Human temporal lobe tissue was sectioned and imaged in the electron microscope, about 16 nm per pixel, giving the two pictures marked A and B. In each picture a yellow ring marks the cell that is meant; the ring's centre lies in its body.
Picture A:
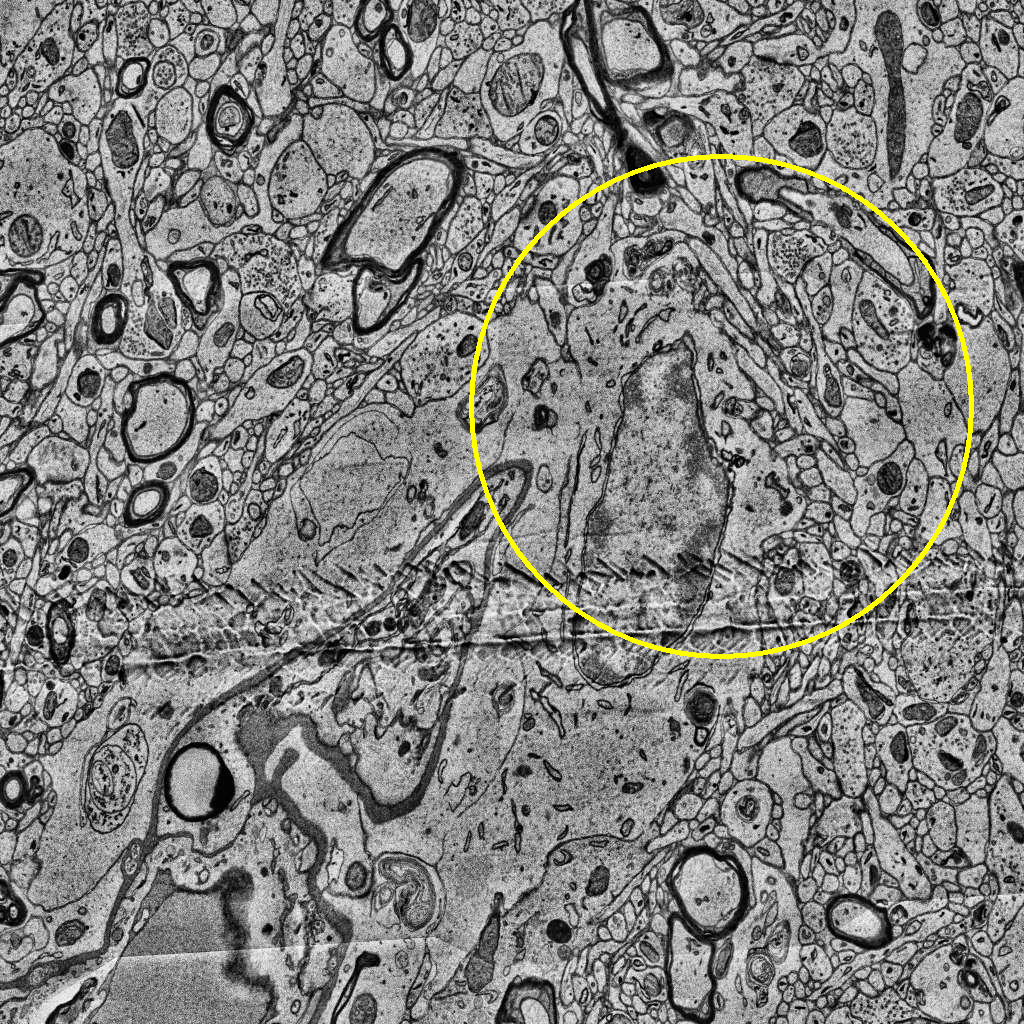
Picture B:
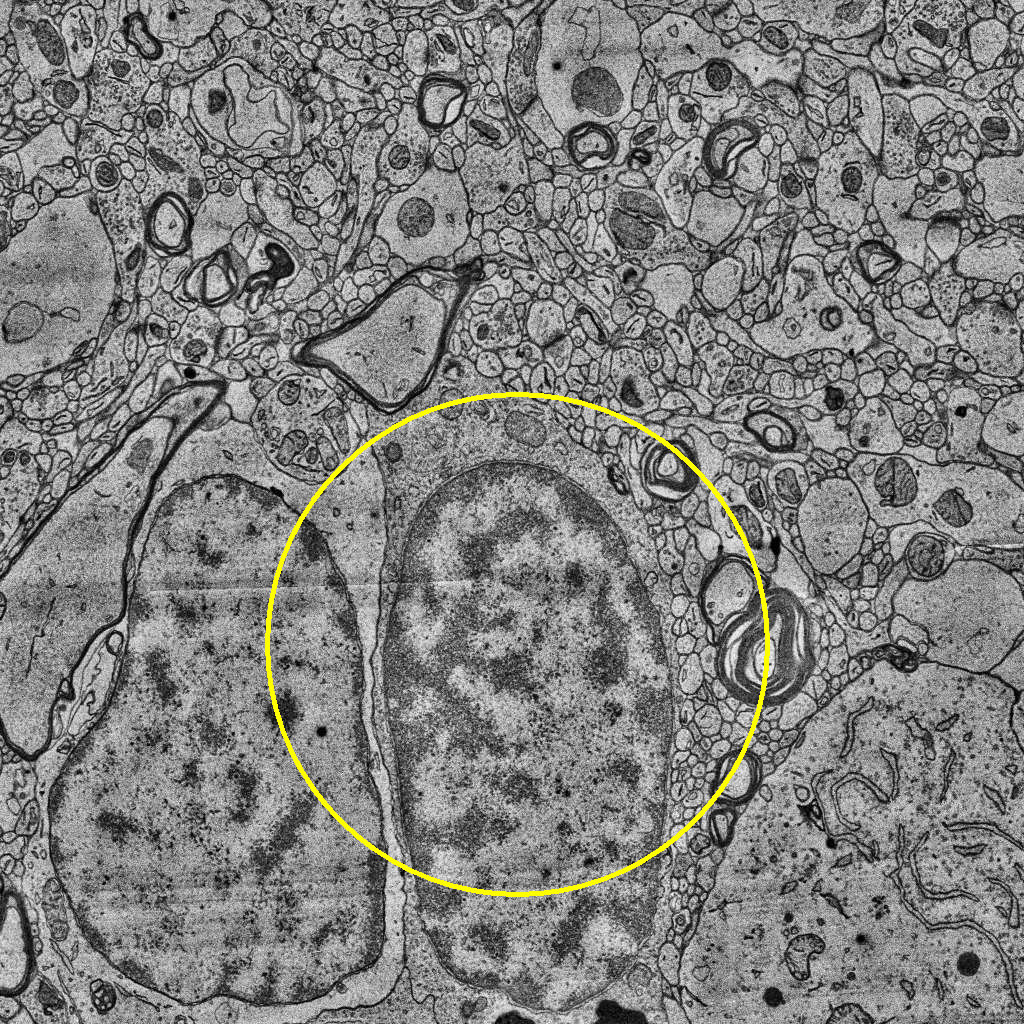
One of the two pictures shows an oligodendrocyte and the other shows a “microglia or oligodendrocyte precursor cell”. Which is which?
The cell in picture A is a “microglia or oligodendrocyte precursor cell”, and the one in picture B is an oligodendrocyte.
